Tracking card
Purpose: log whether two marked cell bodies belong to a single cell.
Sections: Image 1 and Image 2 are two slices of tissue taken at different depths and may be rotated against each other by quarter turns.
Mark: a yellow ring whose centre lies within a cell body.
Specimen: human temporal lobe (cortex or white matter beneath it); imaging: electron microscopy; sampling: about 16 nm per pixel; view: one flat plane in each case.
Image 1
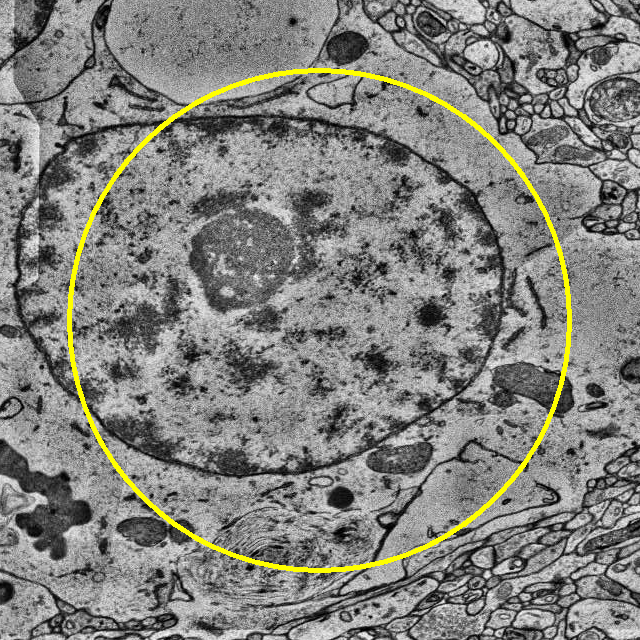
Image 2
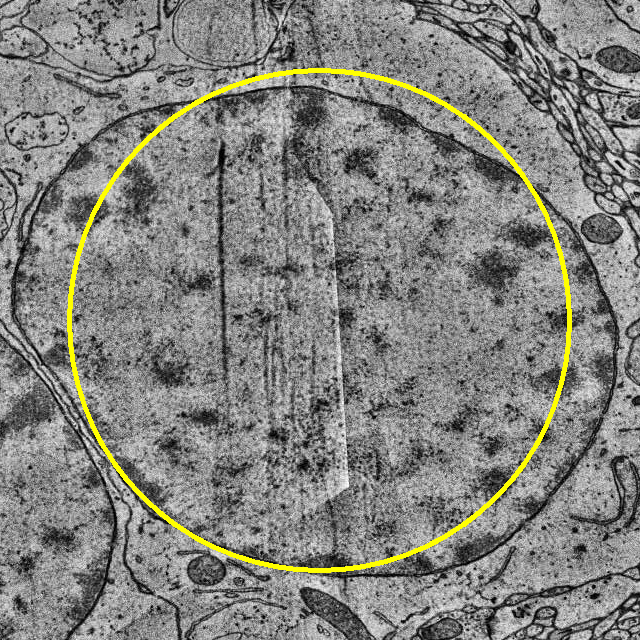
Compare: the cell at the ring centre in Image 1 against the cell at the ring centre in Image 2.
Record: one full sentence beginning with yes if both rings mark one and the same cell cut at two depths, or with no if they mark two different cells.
No, what the two rings mark is two different cells.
